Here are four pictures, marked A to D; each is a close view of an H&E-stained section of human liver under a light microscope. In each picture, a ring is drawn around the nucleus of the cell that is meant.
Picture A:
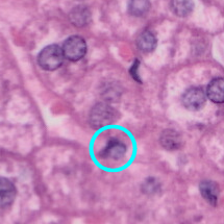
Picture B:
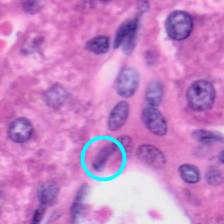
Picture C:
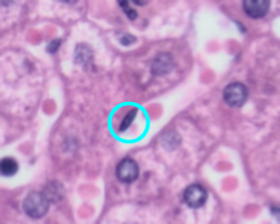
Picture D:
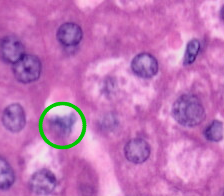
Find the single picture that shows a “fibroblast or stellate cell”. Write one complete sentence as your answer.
Picture B shows the “fibroblast or stellate cell”.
